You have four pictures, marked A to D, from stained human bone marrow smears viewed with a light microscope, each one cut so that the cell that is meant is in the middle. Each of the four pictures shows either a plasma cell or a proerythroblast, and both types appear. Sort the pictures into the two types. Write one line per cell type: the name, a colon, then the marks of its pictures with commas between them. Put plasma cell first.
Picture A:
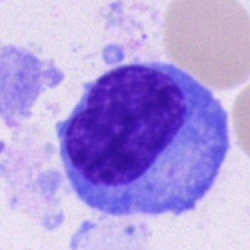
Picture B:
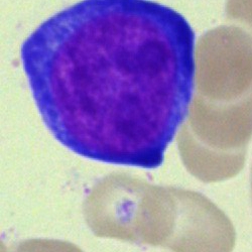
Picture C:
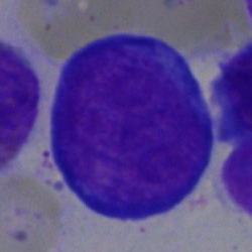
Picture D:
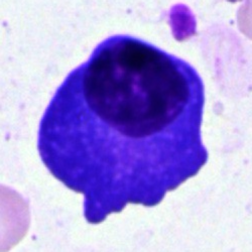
plasma cell: A, D
proerythroblast: B, C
